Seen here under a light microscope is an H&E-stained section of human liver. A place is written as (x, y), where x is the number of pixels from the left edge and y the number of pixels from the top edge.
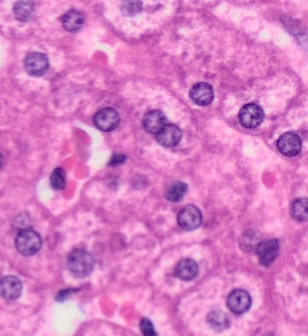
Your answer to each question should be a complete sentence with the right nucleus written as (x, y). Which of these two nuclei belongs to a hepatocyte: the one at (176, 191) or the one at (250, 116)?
Identify the nucleus at (250, 116) as the one belonging to a hepatocyte.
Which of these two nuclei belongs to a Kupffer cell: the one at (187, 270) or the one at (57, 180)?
As for which of the two, the nucleus at (57, 180) belongs to a Kupffer cell.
